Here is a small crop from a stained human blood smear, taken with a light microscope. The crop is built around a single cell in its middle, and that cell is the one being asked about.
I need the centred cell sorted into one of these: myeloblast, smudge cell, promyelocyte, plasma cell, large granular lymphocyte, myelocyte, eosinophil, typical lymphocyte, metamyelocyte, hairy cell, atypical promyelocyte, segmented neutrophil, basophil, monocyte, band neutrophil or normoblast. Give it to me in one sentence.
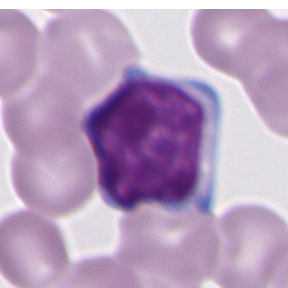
In the central position of this crop, the cell is a typical lymphocyte.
